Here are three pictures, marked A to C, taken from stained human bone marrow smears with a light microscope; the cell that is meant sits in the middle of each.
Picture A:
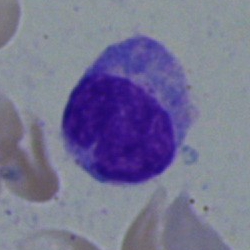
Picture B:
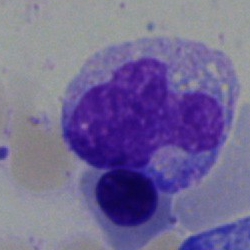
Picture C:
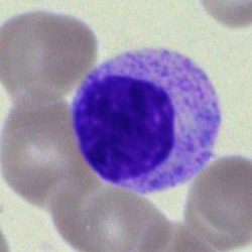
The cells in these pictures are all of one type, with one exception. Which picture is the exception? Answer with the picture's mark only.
C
